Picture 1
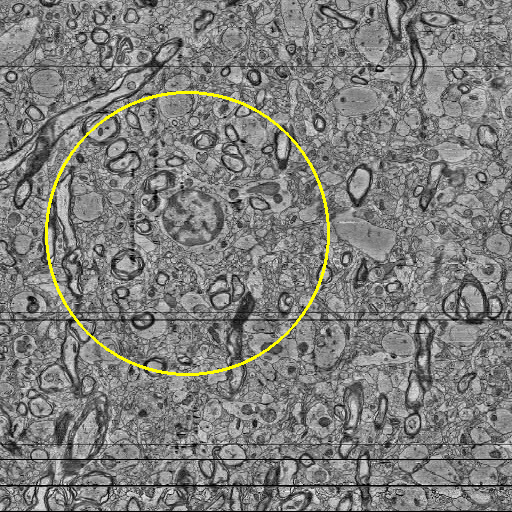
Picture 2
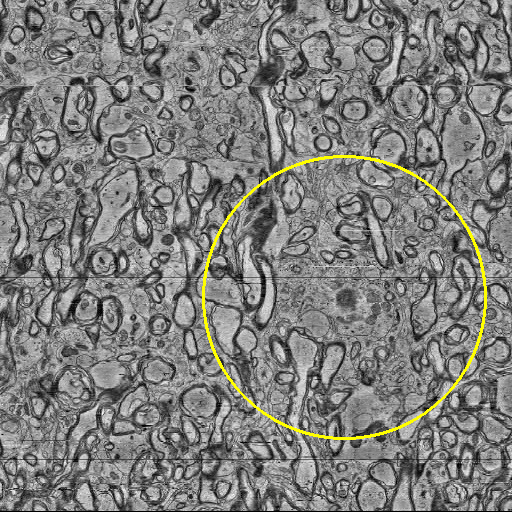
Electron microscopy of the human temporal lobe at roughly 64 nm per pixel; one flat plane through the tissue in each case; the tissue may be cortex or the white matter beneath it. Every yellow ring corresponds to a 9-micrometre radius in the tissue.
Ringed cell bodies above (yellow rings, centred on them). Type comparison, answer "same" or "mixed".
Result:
same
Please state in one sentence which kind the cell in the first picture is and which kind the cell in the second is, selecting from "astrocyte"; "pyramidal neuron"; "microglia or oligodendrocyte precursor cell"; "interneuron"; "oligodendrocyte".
The first and the second cell are each a microglial cell or oligodendrocyte precursor cell.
